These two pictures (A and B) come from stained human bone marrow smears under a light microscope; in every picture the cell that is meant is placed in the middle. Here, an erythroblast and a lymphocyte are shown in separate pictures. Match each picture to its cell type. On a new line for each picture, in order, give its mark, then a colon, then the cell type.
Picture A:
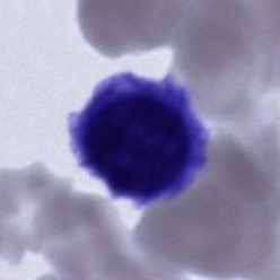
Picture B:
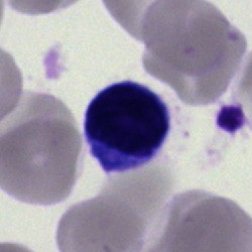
A: erythroblast
B: lymphocyte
